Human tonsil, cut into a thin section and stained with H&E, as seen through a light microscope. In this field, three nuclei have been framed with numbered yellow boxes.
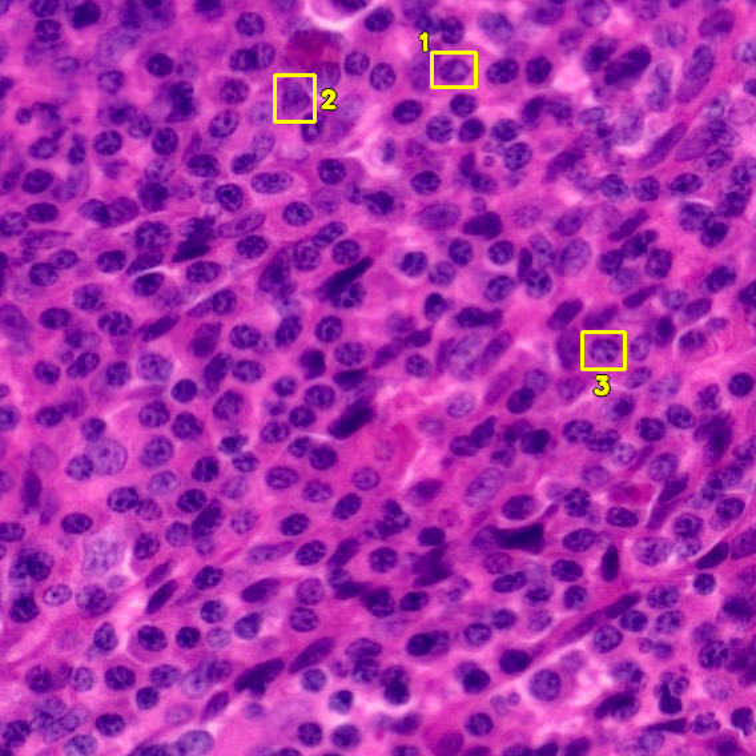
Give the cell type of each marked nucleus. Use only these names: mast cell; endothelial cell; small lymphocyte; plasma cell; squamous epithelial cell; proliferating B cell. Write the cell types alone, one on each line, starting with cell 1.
plasma cell
squamous epithelial cell
plasma cell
